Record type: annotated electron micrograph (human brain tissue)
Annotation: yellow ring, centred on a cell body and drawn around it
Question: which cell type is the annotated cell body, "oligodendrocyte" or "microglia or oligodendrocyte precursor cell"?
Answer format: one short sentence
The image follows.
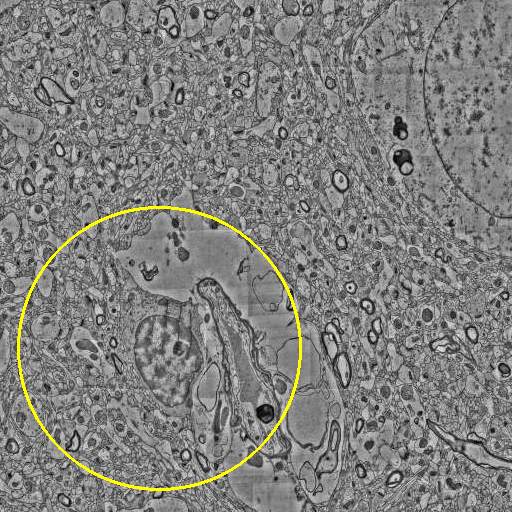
The annotated cell body is that of an oligodendrocyte.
